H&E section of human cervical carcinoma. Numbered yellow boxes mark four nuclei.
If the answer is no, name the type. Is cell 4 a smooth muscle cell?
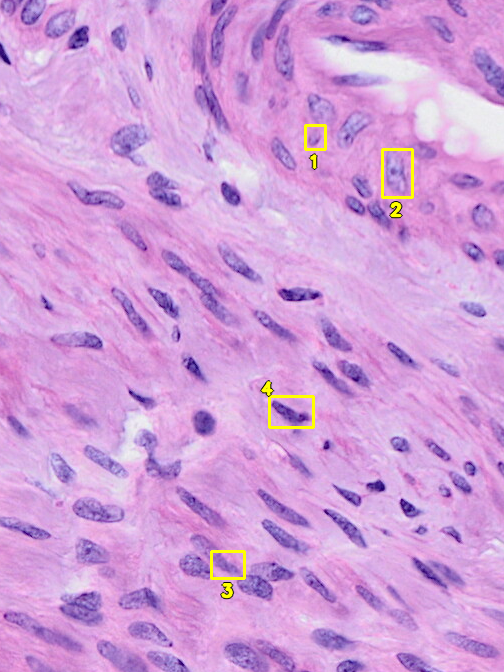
No, it is a fibroblast.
